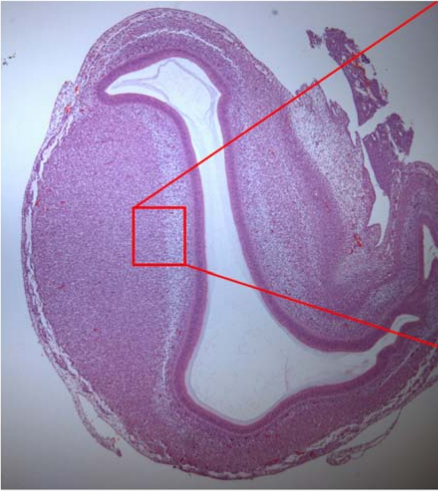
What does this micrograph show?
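This is a low-power section through the whole organ, with a wide, curved central cavity. The cavity is lined by a darker purple band of closely packed cells. Around it lies a thick wall of densely stained tissue, which is thickest on the left side. A thin, paler layer wraps the outside of the wall.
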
